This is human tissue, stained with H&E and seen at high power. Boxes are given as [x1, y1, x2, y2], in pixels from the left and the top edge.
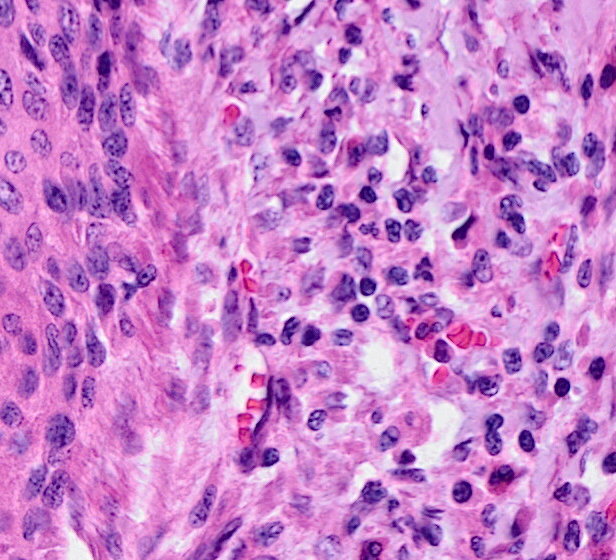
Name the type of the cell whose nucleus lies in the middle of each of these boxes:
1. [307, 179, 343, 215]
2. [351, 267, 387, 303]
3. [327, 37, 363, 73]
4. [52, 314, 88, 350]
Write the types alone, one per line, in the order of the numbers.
lymphocyte
lymphocyte
lymphocyte
squamous carcinoma cell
